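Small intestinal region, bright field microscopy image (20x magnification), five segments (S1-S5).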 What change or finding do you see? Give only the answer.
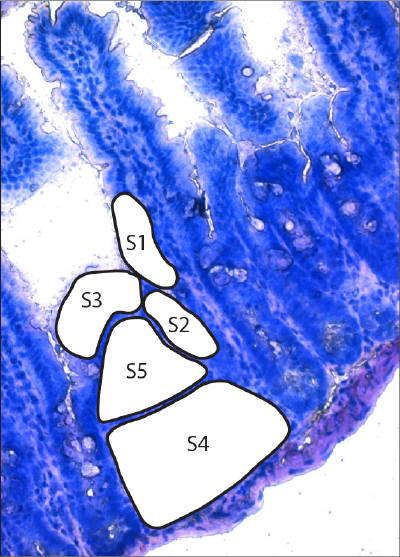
Laser dissection.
